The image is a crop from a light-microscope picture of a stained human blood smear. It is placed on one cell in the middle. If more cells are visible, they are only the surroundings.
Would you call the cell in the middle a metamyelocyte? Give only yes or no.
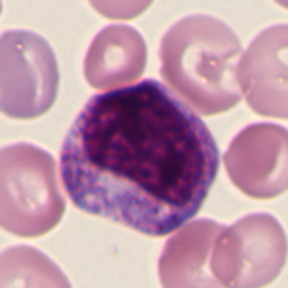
yes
